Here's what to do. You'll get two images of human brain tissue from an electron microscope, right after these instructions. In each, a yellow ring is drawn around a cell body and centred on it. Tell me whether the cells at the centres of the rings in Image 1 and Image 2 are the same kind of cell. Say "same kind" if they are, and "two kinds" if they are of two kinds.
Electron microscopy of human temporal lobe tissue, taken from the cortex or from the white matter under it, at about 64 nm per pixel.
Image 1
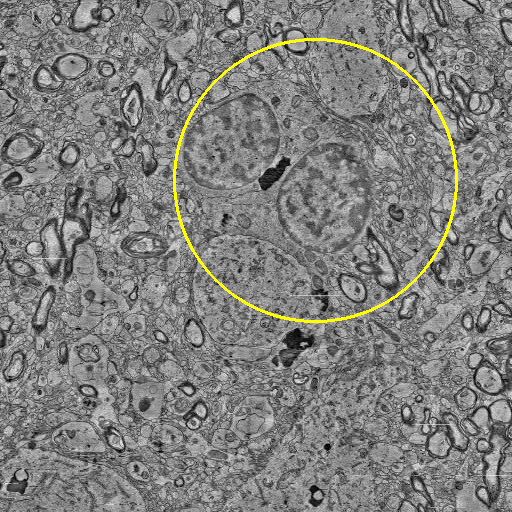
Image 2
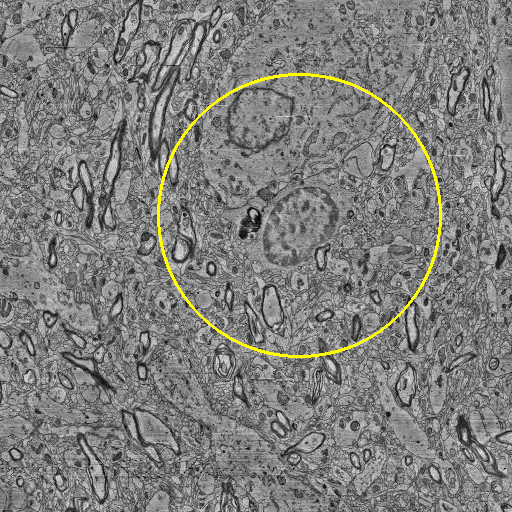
same kind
